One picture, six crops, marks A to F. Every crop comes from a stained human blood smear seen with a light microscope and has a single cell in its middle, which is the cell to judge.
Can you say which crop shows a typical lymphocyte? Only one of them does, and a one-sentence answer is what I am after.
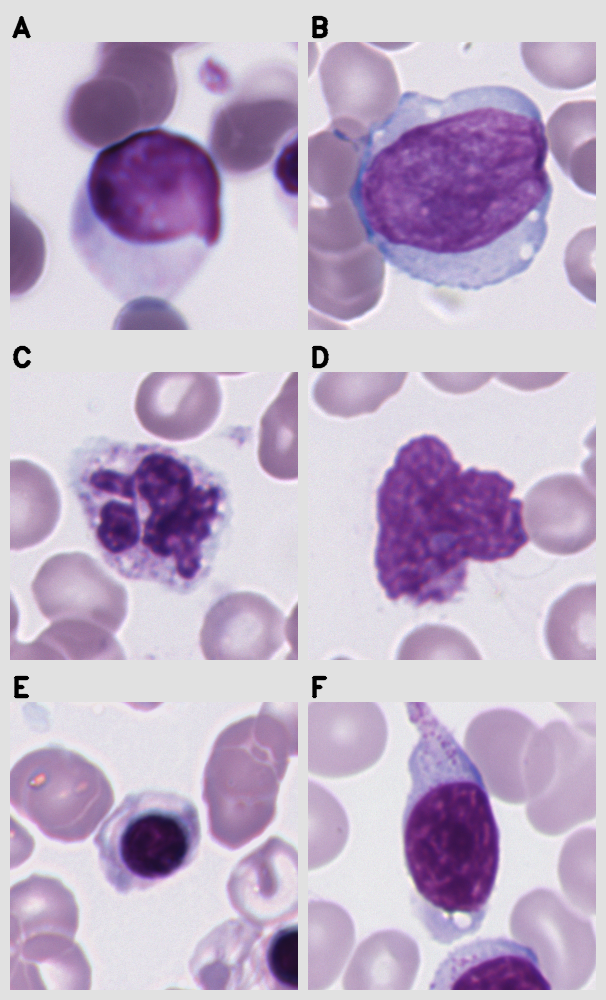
Crop A is identified as the crop showing a typical lymphocyte.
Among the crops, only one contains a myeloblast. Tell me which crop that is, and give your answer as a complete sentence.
Of the labeled crops, the one with a myeloblast is crop B.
